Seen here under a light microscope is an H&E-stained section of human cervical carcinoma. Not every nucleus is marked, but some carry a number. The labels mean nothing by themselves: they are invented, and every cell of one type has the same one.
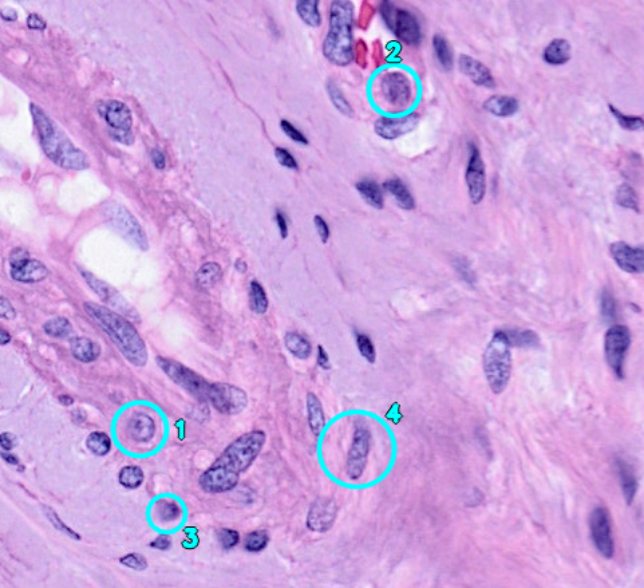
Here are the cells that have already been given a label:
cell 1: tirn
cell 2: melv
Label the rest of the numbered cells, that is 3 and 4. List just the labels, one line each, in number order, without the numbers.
tirn
tirn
